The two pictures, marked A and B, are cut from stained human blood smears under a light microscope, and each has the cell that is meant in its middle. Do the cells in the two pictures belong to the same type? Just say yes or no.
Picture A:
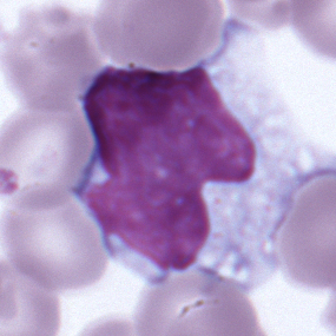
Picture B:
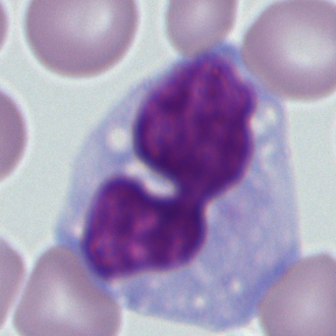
yes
